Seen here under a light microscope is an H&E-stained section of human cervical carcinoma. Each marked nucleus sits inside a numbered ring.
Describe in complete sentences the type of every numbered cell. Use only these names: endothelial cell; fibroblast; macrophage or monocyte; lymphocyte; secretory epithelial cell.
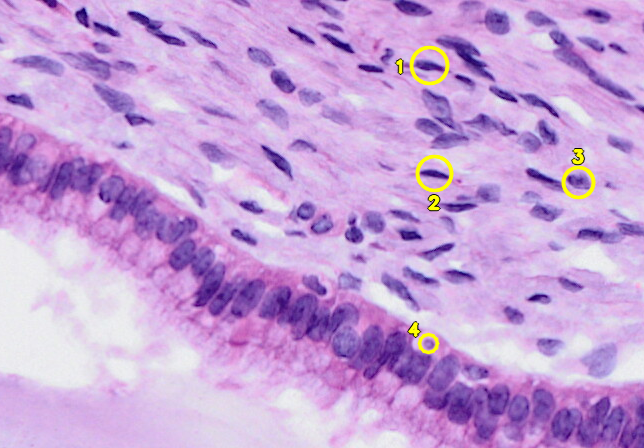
Cell 1 is a fibroblast, cell 2 is a fibroblast, cell 3 is a fibroblast and cell 4 is a secretory epithelial cell.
